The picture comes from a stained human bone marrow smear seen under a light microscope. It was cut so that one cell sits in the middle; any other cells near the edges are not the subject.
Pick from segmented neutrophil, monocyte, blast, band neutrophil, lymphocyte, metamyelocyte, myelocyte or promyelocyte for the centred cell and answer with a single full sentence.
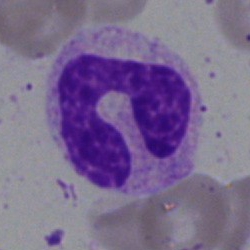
The crop's centre is taken up by a segmented neutrophil.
